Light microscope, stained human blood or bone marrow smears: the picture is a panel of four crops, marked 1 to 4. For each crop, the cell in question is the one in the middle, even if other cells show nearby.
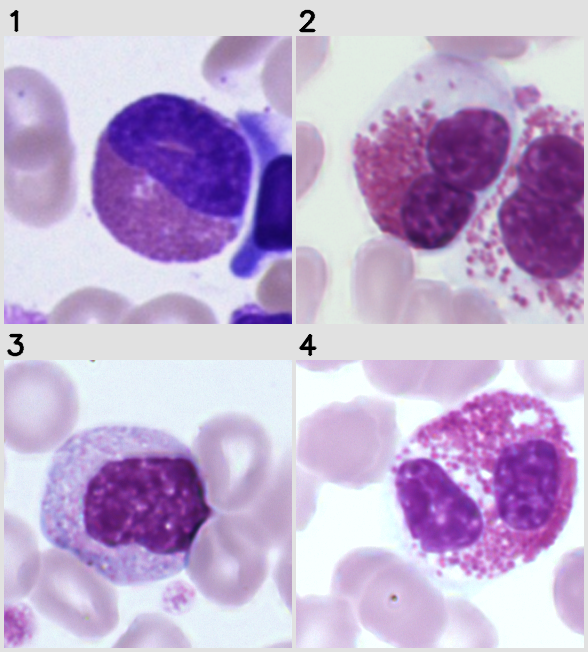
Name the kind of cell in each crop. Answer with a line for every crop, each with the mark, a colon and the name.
1: eosinophil
2: eosinophil
3: myelocyte
4: eosinophil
